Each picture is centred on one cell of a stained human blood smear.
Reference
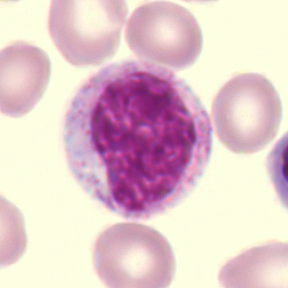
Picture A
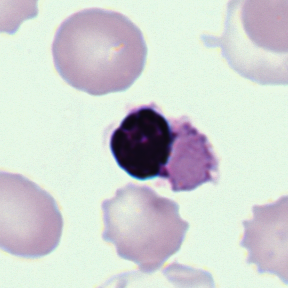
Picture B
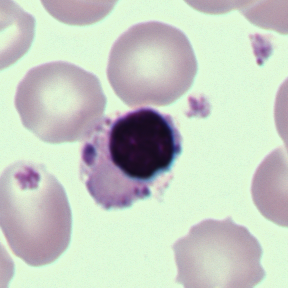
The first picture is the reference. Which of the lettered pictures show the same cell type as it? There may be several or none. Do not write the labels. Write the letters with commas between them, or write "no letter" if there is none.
no letter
